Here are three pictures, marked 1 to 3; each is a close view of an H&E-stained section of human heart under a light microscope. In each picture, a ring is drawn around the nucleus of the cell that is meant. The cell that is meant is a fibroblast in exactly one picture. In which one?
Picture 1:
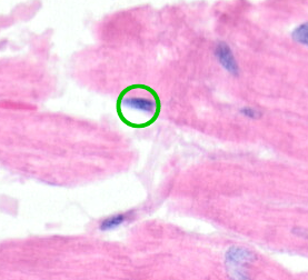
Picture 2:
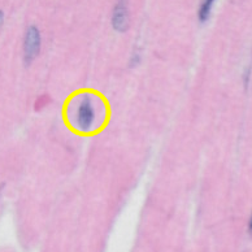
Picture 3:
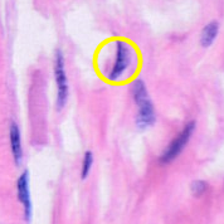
3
